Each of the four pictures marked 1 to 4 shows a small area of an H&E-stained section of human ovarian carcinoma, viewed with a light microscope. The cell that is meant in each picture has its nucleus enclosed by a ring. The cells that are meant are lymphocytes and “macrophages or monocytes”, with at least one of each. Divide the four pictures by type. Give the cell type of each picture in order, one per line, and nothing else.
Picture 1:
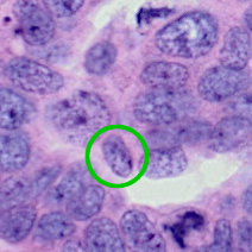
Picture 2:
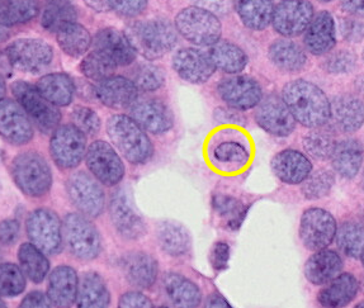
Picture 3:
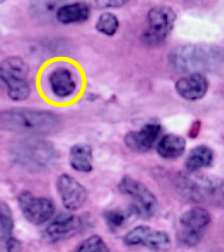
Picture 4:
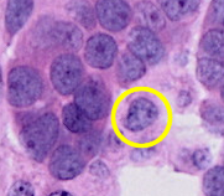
macrophage or monocyte
macrophage or monocyte
lymphocyte
macrophage or monocyte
